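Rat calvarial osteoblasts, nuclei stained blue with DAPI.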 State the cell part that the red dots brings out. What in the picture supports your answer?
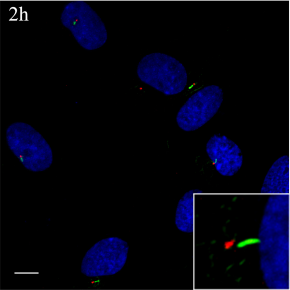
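In the inset a small red dot sits at the end of a green rod. Small red dots lie beside green rods near the nuclei. That points to this answer: basal bodies.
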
